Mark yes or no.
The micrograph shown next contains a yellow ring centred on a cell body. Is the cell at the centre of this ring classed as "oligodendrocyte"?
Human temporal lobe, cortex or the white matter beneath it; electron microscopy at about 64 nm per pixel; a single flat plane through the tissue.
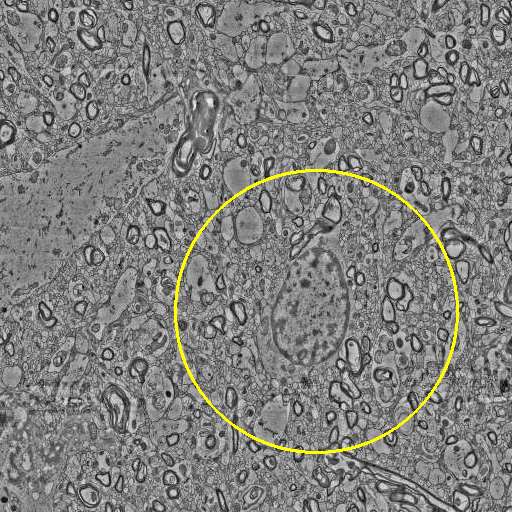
yes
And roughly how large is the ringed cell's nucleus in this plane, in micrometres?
Clearly longer than it is wide in this plane, the nucleus measures roughly 8 by 5 micrometres.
